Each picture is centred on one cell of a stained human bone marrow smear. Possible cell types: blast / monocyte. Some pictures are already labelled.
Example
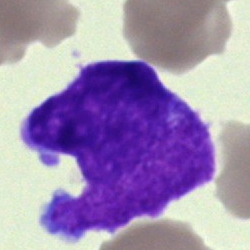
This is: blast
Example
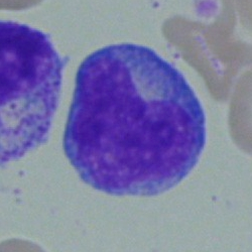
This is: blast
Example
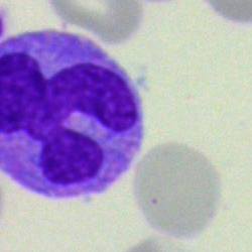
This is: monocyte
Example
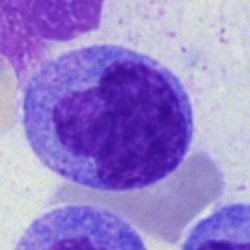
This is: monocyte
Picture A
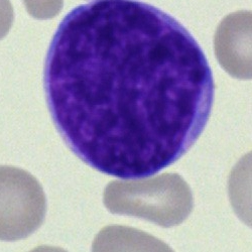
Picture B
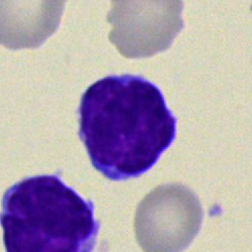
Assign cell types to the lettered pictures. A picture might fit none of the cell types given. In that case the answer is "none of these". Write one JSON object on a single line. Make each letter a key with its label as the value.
{"A": "blast", "B": "none of these"}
